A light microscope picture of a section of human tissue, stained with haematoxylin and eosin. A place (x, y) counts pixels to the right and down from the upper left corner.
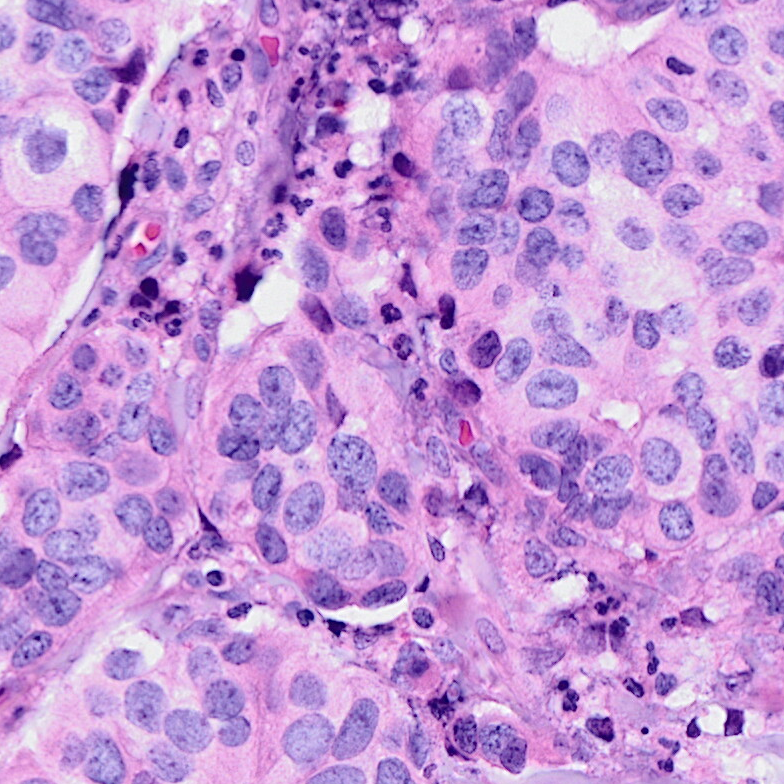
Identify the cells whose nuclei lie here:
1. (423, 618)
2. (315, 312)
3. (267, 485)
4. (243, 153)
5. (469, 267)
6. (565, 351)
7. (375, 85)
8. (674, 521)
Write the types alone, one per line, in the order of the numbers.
mast cell
carcinoma cell
carcinoma cell
macrophage, monocyte or dendritic cell
carcinoma cell
carcinoma cell
lymphocyte
carcinoma cell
